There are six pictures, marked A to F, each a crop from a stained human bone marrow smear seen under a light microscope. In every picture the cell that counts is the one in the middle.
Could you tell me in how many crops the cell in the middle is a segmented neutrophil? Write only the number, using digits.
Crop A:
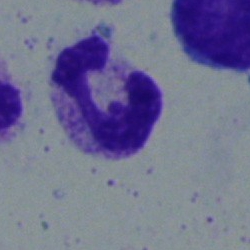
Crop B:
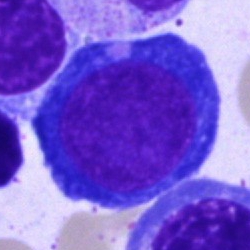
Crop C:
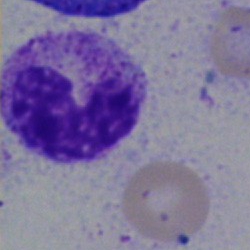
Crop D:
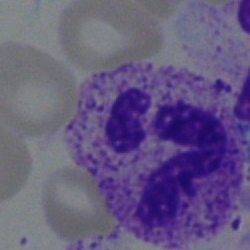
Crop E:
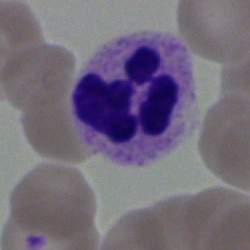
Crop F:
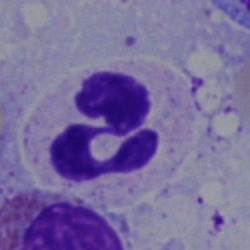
4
